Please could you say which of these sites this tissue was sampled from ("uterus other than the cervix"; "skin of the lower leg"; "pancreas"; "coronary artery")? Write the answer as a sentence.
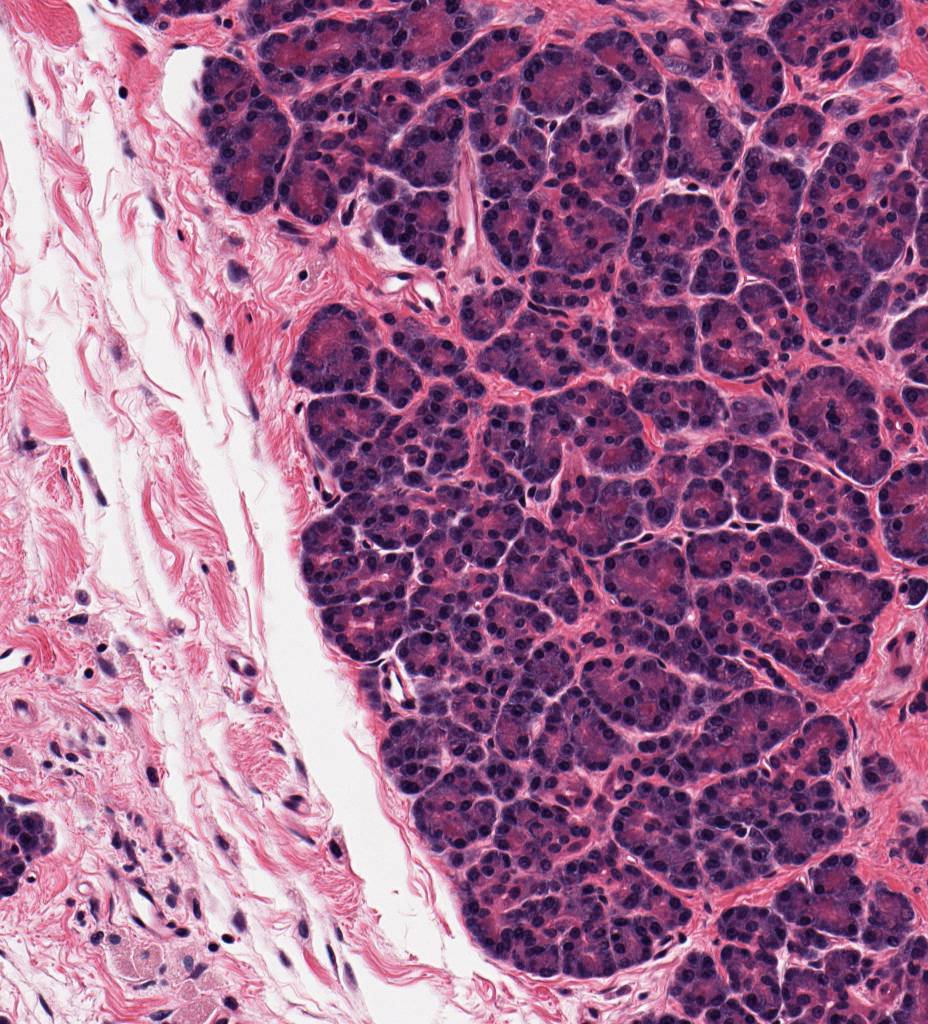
The site this tissue was sampled from is the pancreas.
